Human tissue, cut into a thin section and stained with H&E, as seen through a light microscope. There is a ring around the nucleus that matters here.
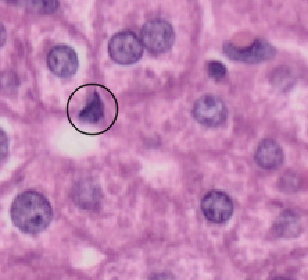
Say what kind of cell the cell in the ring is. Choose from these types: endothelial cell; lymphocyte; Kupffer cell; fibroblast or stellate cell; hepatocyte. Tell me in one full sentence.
As to its cell type, the cell in the ring is a fibroblast or stellate cell.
